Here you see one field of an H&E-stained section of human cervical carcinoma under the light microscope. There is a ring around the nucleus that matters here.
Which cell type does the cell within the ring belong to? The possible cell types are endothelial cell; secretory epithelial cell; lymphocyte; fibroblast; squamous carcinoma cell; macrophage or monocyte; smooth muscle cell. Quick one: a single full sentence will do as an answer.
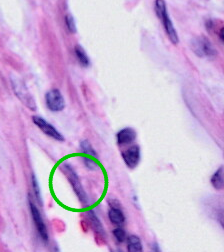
The identity of the cell within the ring: it is an endothelial cell.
